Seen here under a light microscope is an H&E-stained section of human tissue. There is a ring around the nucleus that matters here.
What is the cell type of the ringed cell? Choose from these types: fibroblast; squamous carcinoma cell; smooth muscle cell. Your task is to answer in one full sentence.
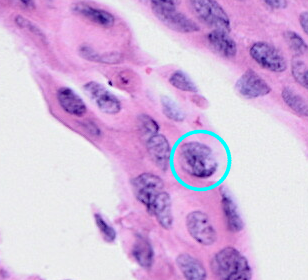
In short, the ringed cell on this section is a squamous carcinoma cell.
